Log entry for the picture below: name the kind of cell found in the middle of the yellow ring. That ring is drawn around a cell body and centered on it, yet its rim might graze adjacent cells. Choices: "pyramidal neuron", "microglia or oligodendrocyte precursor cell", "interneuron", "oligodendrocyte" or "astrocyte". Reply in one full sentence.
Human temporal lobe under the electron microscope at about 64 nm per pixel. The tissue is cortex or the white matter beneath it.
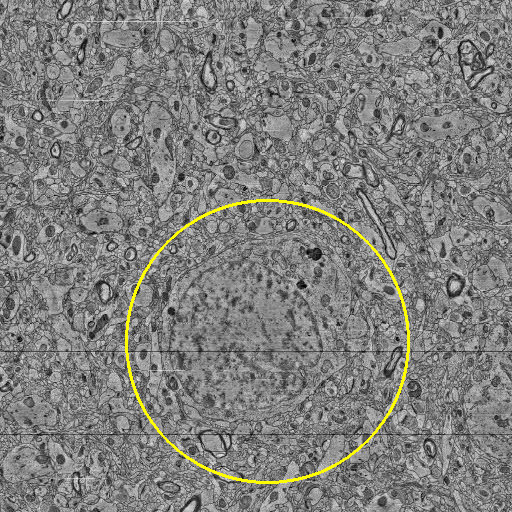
The cell in the middle of the yellow ring in this picture is an interneuron.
